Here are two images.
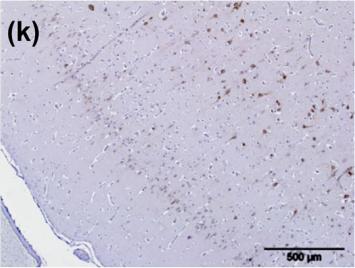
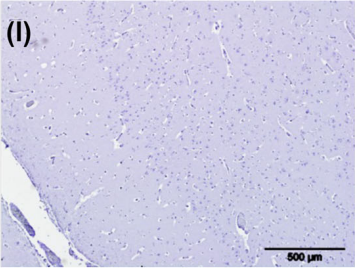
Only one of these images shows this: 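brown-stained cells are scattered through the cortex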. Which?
The first image.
